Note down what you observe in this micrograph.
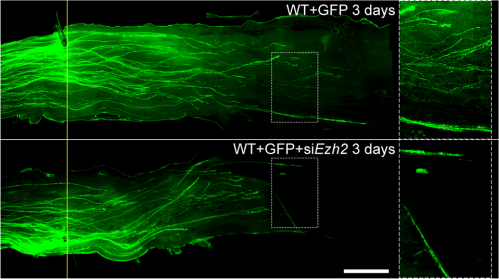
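Two long strips of nerve are seen, each packed at the left with many parallel green fibres that run lengthwise and stream past a yellow vertical line. Beyond the line the fibres thin out and end at varied distances, the upper strip keeping more fibres further along than the lower one, as the enlarged boxes at right show.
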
